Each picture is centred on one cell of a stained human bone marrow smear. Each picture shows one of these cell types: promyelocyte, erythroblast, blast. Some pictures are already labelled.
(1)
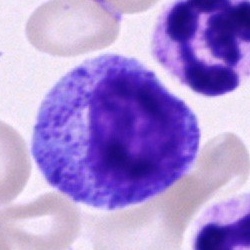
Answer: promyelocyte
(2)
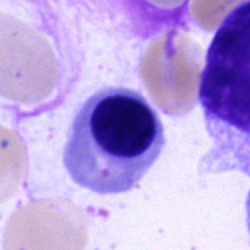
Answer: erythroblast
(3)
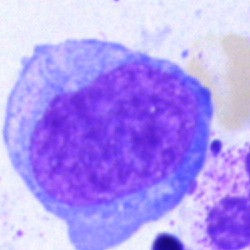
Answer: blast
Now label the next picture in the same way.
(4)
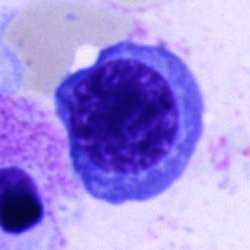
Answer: erythroblast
